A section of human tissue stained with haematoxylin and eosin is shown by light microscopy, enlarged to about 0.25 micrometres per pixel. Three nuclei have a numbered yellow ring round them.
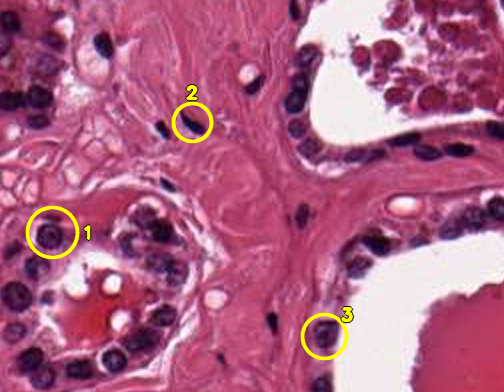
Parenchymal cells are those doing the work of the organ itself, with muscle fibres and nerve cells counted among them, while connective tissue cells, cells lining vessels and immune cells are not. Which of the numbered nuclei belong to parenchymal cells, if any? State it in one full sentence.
The nuclei numbered 1 and 3 all belong to parenchymal cells.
